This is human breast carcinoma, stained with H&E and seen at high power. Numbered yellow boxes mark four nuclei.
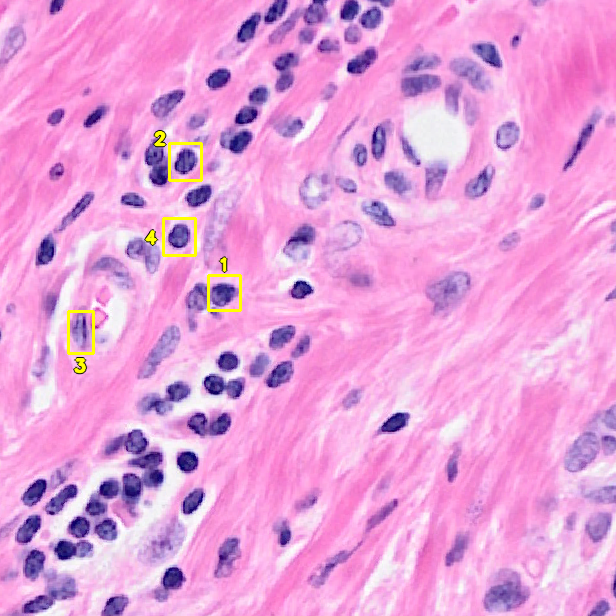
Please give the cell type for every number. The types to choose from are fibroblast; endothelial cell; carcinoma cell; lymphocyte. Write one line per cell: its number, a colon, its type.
1: lymphocyte
2: lymphocyte
3: endothelial cell
4: lymphocyte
